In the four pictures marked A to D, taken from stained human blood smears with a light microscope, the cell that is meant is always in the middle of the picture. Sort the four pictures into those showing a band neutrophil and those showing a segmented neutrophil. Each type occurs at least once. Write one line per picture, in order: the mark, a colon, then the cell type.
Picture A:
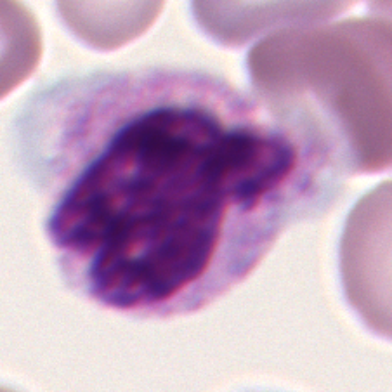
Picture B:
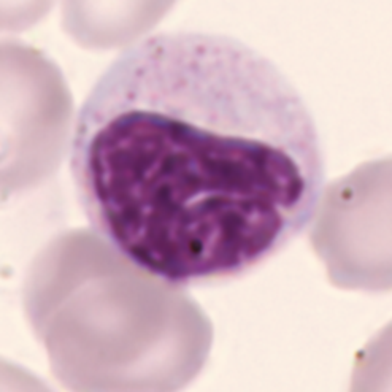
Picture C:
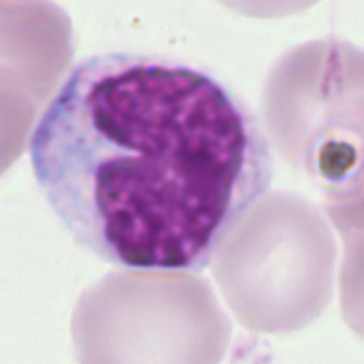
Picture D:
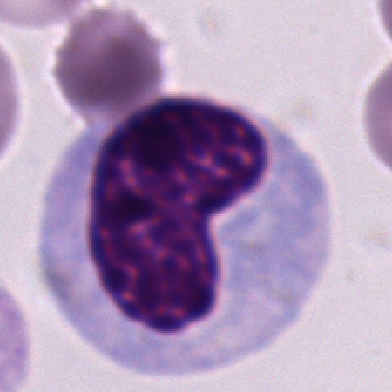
A: segmented neutrophil
B: band neutrophil
C: band neutrophil
D: band neutrophil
